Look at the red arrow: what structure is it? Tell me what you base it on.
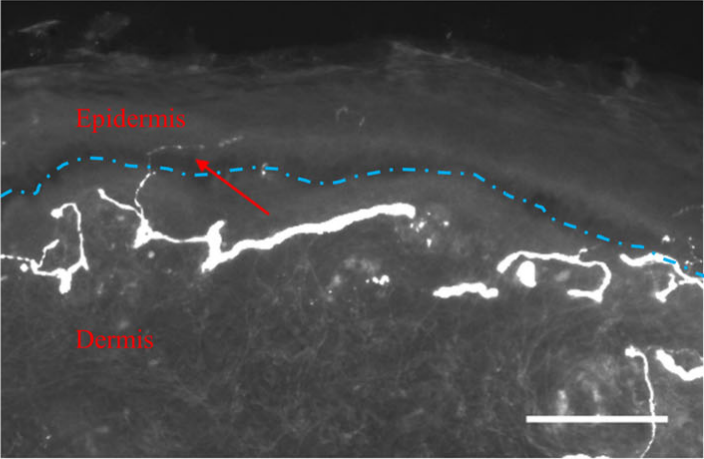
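A thin, beaded bright thread rises from below the dashed line into the upper layer. The thread is much finer than the thick bright fibers lying beneath the line.
Hence: intraepidermal nerve fiber.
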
